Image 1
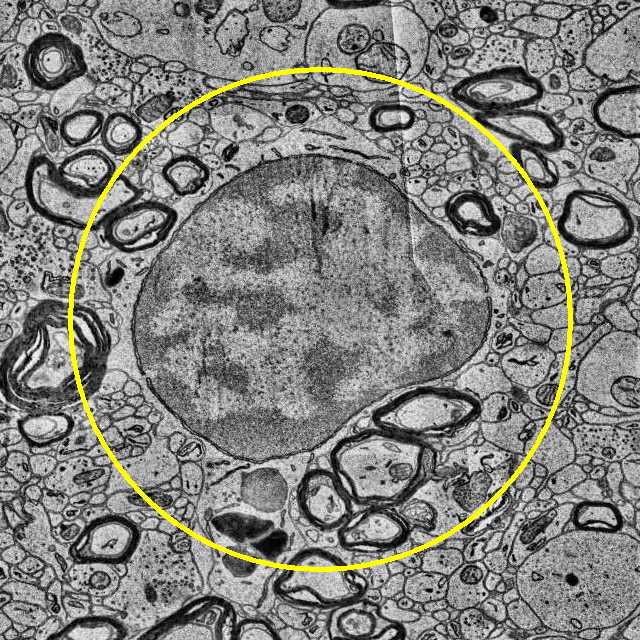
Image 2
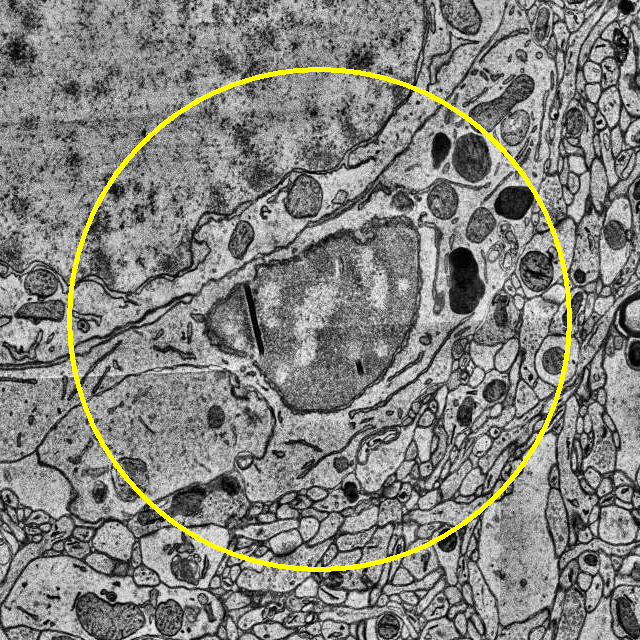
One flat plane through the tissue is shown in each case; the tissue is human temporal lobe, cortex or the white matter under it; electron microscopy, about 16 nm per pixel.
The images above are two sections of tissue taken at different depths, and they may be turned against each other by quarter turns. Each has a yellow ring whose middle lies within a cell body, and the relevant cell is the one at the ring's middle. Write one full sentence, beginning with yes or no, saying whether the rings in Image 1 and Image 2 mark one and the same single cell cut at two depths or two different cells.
No, the two yellow rings correspond to two separate cells.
